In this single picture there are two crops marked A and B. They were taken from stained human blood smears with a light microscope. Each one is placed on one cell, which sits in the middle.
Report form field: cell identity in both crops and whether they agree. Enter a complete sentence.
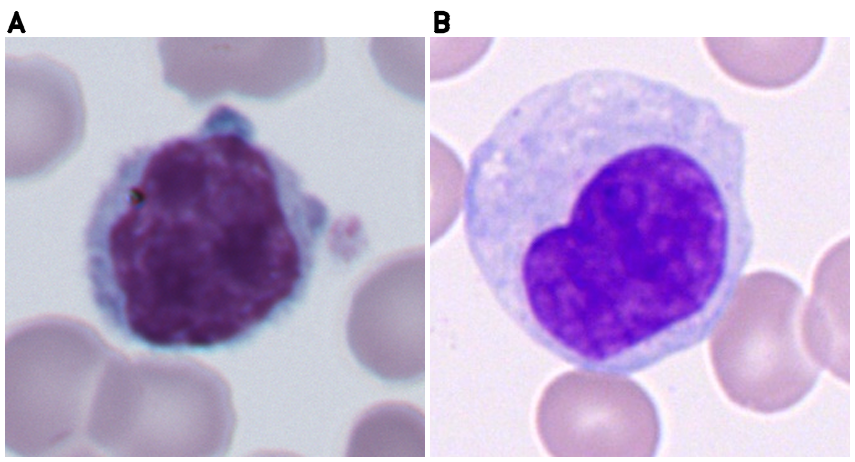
Yes, lymphocytes are the cells in the middle of both crops.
